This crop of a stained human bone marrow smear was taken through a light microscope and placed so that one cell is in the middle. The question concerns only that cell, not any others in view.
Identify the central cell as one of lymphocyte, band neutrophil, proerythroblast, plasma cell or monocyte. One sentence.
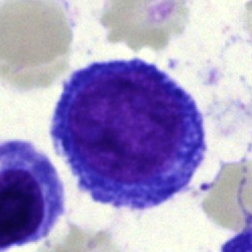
Here the cell in the middle is a proerythroblast.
